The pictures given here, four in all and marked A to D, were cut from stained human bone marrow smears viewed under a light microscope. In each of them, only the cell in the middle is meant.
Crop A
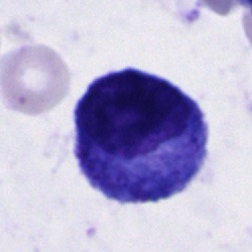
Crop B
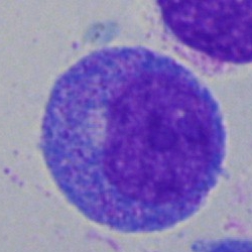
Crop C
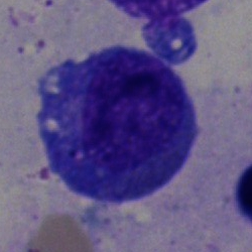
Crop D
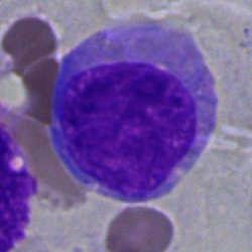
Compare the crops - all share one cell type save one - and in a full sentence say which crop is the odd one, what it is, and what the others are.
In this set the other crops all show promyelocytes, and crop D shows a blast.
